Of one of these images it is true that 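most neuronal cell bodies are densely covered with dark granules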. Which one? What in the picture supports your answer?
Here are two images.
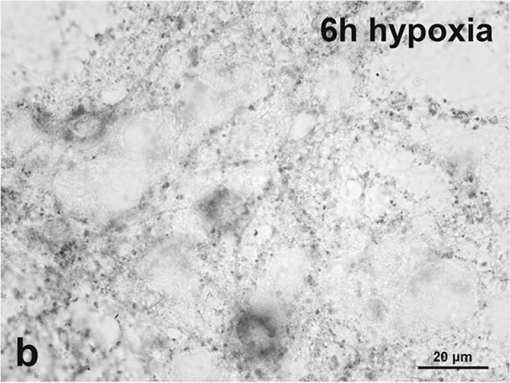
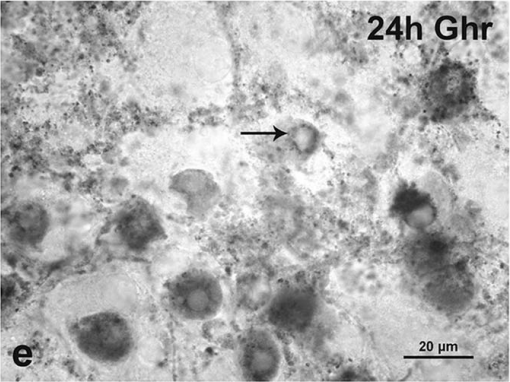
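Second image: many rounded cell bodies appear dark grey with dense granules. First image: cell bodies are mostly pale, with only faint granular rims. That points to this answer: the second image.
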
